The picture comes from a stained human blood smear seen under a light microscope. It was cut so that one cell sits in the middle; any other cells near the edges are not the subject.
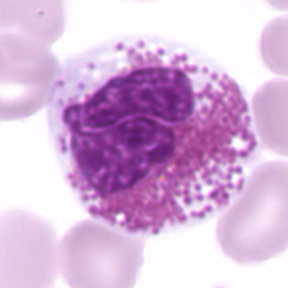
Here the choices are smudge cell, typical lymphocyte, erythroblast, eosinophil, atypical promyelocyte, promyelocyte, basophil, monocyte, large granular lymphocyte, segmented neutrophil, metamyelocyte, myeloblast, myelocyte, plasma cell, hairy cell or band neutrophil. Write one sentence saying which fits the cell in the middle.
Seen at the centre of the crop is an eosinophil.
